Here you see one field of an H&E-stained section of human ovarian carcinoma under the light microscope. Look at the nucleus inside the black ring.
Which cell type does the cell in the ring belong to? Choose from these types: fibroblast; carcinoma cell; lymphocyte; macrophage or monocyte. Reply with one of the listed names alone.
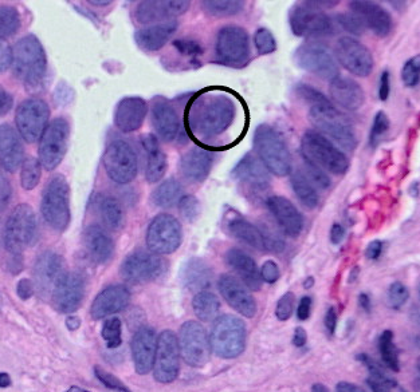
carcinoma cell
